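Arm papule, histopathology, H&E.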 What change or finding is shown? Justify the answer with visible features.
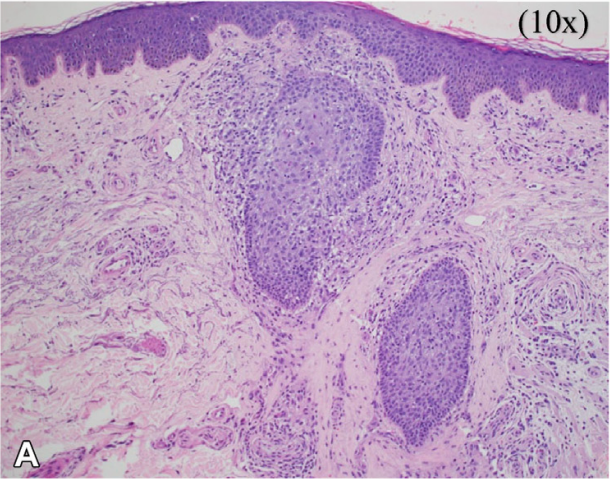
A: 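Rounded islands of follicular epithelium lie in the dermis below the epidermis. Many small dark round nuclei crowd around and within these epithelial islands.
Intrafollicular lymphocytes.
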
